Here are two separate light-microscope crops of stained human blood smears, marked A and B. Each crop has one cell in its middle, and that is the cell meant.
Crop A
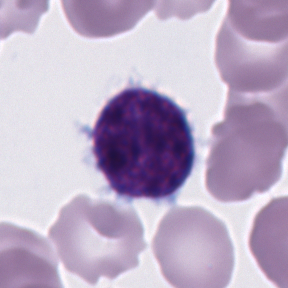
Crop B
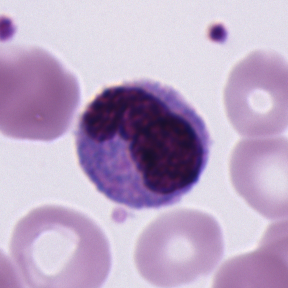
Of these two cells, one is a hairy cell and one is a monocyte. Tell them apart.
A: hairy cell
B: monocyte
